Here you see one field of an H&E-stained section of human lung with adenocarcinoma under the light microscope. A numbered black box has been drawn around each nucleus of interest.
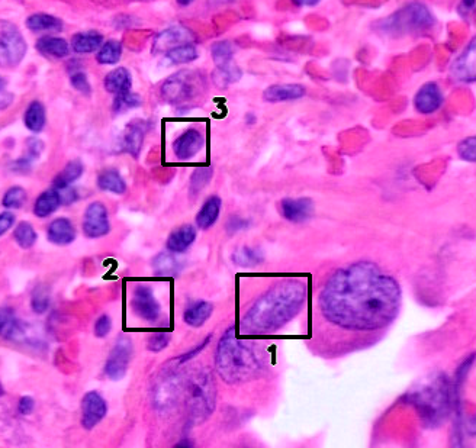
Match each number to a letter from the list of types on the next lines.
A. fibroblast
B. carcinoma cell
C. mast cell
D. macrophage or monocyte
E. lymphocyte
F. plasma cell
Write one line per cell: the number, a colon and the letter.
1: B
2: E
3: E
